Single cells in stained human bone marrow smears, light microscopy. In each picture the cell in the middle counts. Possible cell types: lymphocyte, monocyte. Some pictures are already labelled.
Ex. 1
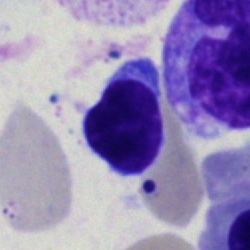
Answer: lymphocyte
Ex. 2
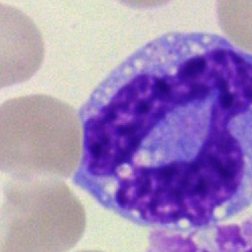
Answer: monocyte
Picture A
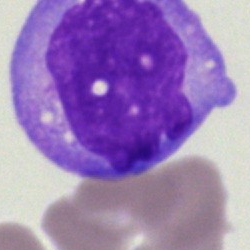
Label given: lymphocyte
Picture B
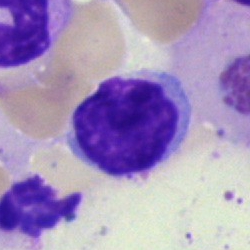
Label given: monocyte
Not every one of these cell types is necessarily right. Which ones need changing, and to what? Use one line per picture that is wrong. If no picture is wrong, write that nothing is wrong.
A is labelled lymphocyte; correct label: monocyte
B is labelled monocyte; correct label: lymphocyte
